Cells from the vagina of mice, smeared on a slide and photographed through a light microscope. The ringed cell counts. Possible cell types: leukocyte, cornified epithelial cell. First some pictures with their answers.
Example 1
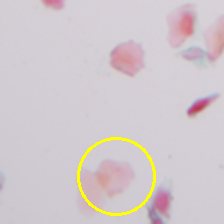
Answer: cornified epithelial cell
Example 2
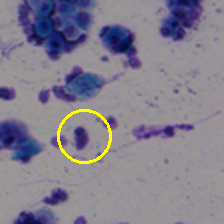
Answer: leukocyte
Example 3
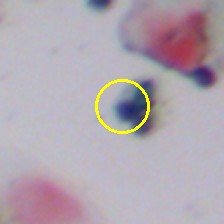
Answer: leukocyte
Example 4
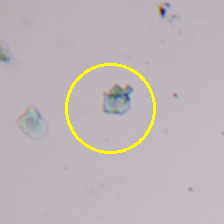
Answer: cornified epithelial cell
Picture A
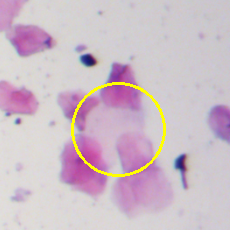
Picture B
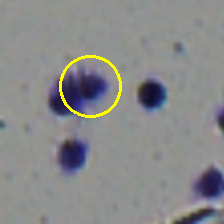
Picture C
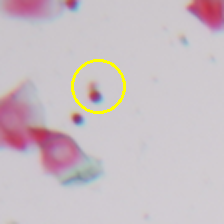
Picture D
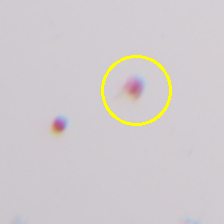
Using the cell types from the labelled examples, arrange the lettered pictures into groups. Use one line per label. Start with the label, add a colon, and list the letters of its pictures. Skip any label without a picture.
leukocyte: B, C, D
cornified epithelial cell: A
